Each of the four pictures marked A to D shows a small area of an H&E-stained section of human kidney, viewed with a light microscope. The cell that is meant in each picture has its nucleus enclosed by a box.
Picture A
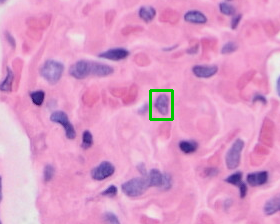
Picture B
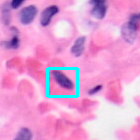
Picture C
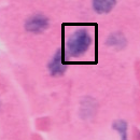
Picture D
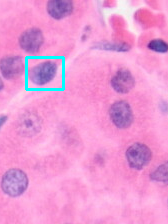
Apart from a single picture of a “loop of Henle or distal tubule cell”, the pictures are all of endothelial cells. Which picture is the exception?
C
